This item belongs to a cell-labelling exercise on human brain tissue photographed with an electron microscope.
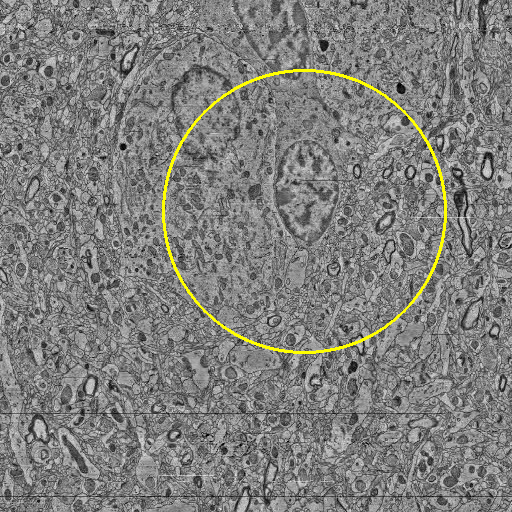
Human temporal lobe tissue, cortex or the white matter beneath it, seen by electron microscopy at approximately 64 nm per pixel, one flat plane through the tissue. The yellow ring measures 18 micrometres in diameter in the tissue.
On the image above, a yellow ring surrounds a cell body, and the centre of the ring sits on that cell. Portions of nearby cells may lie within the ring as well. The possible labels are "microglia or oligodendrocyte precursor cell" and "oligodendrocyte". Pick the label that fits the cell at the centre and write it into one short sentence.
This cell should be labelled as an oligodendrocyte.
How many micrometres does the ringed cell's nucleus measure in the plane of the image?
About 7 by 4 micrometres, the nucleus being clearly longer than it is wide in this plane.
